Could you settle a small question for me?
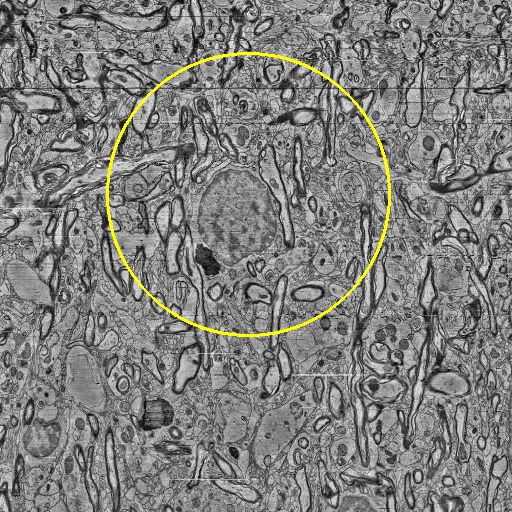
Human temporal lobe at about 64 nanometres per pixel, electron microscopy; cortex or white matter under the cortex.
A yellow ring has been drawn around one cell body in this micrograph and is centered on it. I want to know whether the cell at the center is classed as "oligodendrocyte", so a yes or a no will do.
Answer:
yes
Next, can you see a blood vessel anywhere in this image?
No.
